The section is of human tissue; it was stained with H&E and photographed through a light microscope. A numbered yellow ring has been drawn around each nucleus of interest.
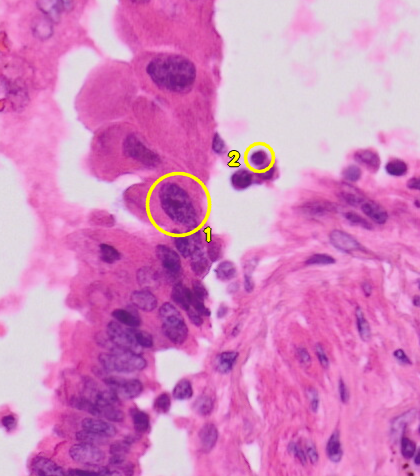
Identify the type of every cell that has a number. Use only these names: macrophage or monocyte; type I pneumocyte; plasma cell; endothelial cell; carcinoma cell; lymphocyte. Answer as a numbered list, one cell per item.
1. carcinoma cell
2. lymphocyte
